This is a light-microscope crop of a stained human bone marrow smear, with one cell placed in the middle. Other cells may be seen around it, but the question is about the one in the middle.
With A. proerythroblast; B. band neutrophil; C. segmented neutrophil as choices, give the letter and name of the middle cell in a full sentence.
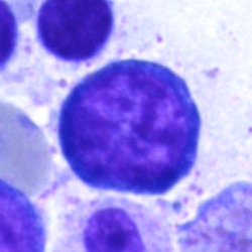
Correctly, option A names the cell in the middle a proerythroblast.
